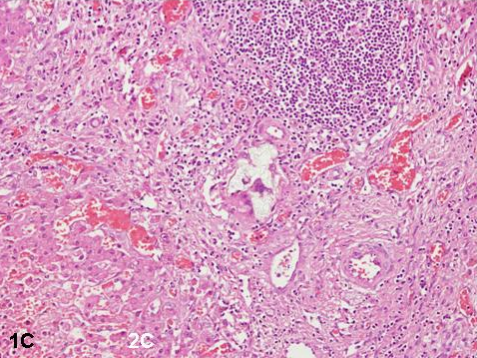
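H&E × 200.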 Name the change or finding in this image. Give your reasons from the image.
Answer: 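A small vessel in the centre contains pale foreign material with purple multinucleated cells along it. A dense cluster of small round lymphocytes lies nearby. Congested, blood-filled channels are scattered through the tissue. On this evidence: Giant cell reaction.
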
